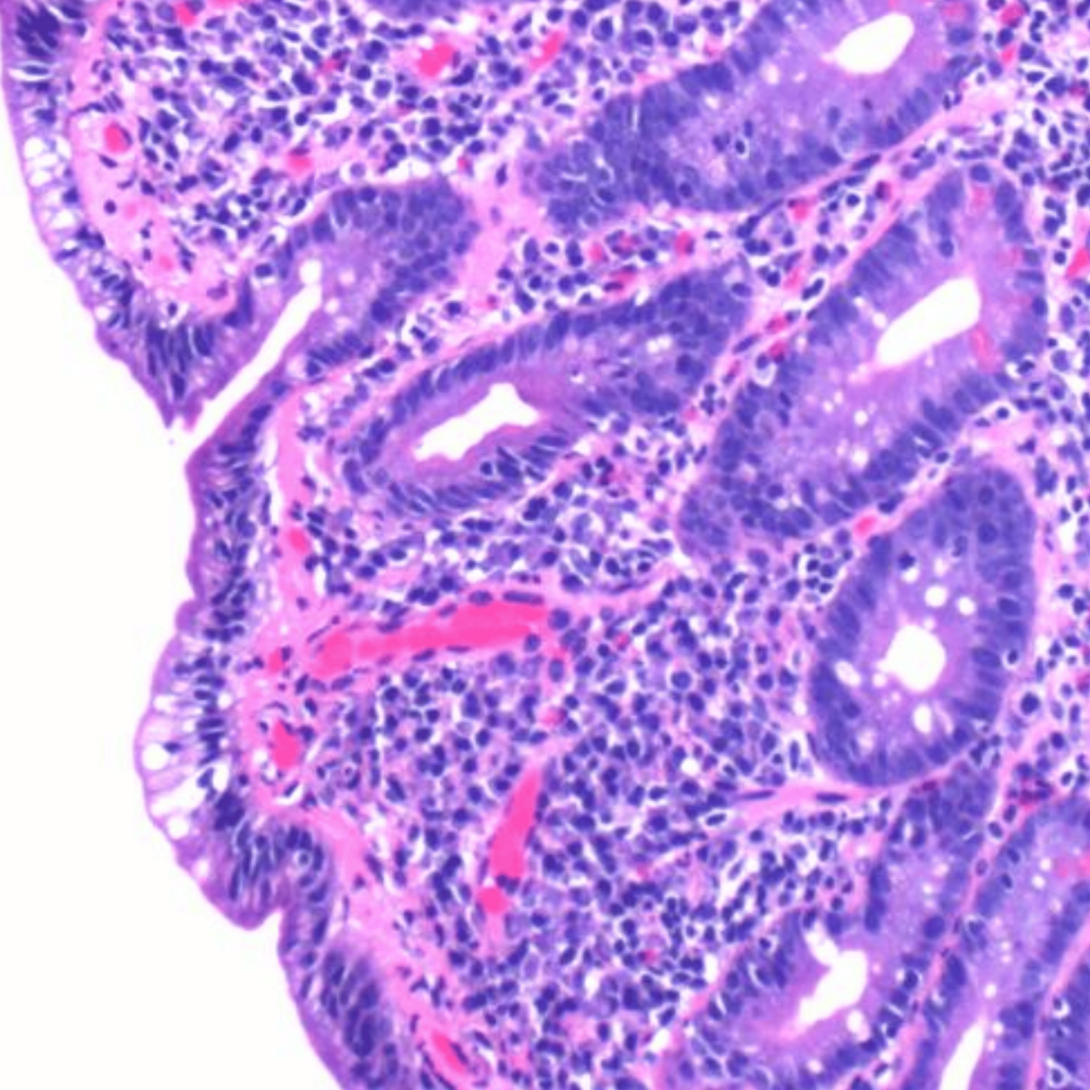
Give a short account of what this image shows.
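This is intestinal mucosa whose surface, along the left edge, is flat instead of rising into tall villi, with crypts of columnar epithelium lying close beneath it. The surface epithelium contains pale goblet cells and rests on a band of pink, cell-poor material. The stroma between the crypts is crowded with small round cells with dark nuclei, and similar small dark nuclei are scattered among the crypt epithelial cells; thin vessels with red blood cells run through this stroma.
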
